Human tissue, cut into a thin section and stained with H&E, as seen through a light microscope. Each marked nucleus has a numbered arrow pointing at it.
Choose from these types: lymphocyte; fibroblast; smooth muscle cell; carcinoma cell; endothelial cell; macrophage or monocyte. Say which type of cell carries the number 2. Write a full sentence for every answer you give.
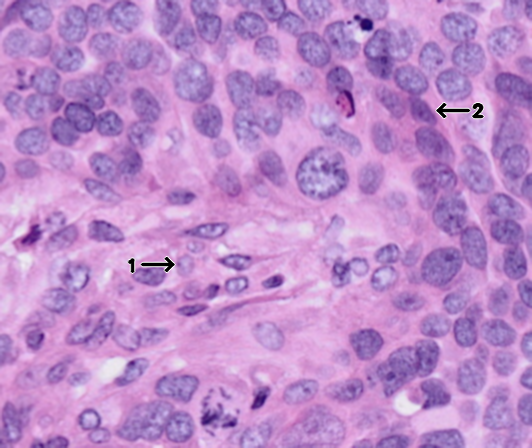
Cell 2 in the field is a carcinoma cell.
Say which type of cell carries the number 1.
The marked cell with the number 1 is recognised as a fibroblast.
